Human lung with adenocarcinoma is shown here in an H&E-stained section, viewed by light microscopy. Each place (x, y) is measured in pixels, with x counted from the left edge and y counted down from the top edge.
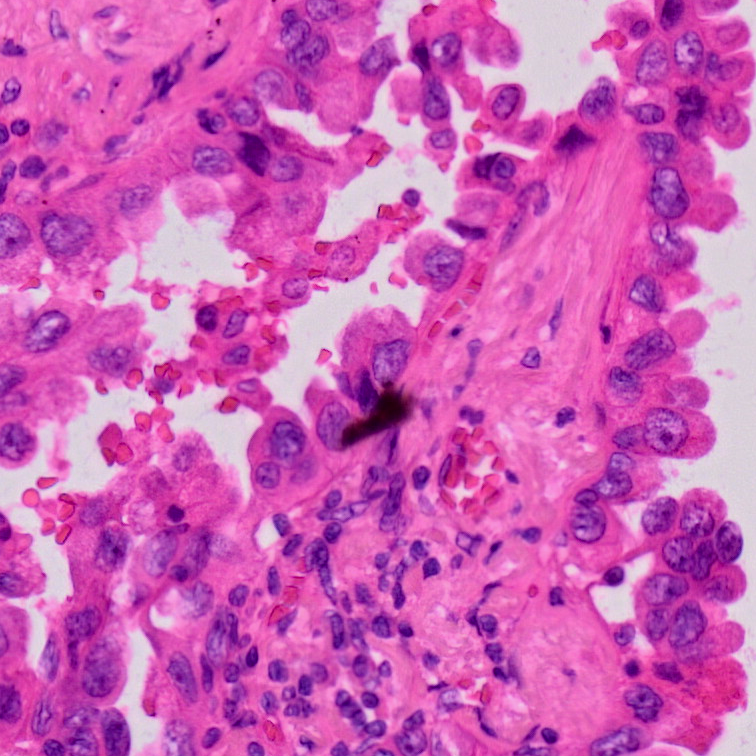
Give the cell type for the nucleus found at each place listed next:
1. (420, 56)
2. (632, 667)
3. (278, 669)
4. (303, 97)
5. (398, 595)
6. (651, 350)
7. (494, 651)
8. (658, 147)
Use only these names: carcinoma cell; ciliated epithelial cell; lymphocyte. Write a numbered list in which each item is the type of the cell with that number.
1. carcinoma cell
2. lymphocyte
3. lymphocyte
4. carcinoma cell
5. lymphocyte
6. carcinoma cell
7. lymphocyte
8. carcinoma cell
